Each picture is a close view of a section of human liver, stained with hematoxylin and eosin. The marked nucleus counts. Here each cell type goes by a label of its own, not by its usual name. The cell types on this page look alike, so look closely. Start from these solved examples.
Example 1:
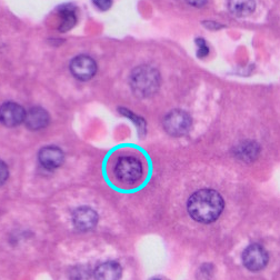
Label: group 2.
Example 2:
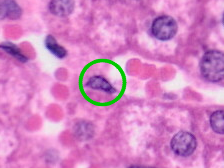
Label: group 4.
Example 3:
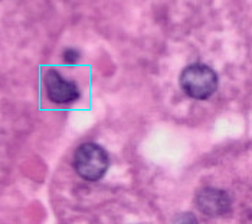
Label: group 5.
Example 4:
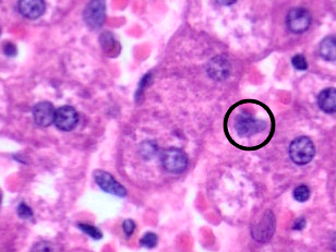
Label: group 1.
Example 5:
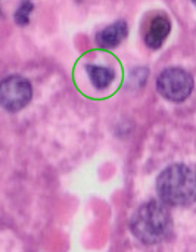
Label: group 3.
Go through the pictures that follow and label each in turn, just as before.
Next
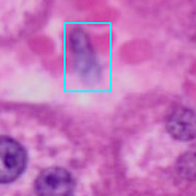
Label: group 5.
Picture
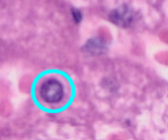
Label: group 2.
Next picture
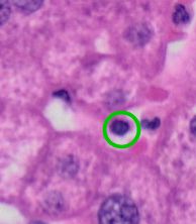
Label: group 3.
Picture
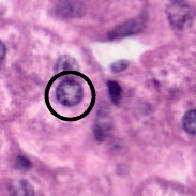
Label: group 2.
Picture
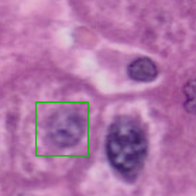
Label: group 2.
